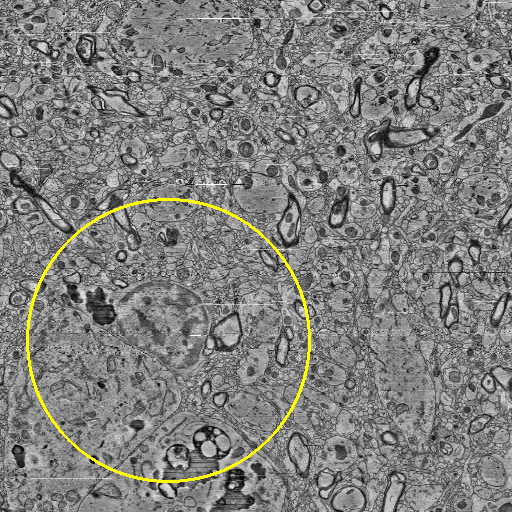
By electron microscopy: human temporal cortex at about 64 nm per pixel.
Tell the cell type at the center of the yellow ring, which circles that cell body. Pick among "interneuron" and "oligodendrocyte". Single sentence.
The ring is centered on the body of an oligodendrocyte.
